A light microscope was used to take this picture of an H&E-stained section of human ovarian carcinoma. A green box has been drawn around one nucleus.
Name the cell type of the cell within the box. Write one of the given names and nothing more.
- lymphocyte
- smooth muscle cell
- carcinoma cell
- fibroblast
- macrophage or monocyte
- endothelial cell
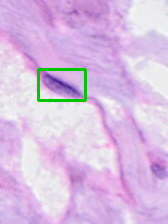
endothelial cell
